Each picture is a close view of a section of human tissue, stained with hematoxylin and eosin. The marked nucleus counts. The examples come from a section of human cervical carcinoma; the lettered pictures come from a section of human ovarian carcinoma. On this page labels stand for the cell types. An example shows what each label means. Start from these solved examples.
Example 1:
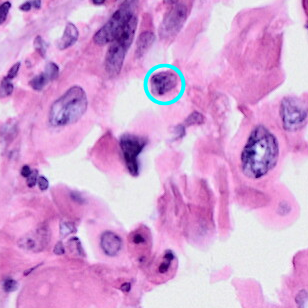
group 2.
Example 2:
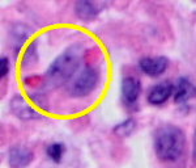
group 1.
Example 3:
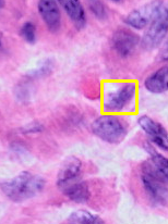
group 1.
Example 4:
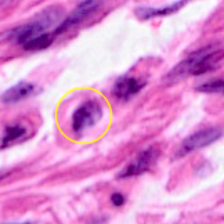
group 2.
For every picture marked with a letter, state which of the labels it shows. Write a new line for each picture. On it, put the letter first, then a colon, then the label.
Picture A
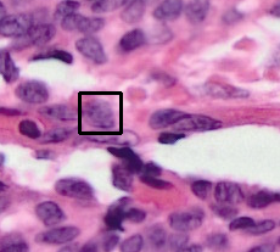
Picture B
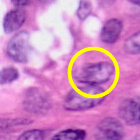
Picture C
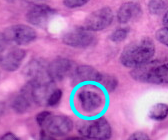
A: group 1.
B: group 1.
C: group 2.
